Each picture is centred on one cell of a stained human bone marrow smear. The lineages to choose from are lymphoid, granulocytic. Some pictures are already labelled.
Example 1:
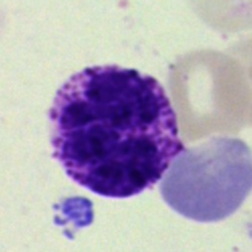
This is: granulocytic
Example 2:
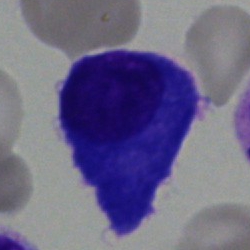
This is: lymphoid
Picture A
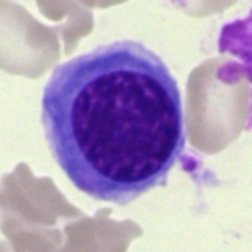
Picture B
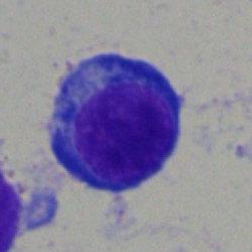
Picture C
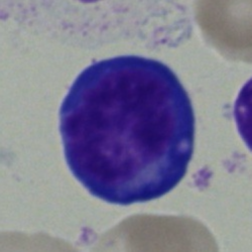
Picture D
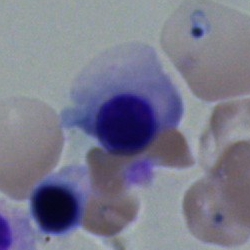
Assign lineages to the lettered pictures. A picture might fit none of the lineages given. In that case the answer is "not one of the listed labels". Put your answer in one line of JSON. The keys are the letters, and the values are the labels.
{"A": "not one of the listed labels", "B": "not one of the listed labels", "C": "not one of the listed labels", "D": "not one of the listed labels"}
